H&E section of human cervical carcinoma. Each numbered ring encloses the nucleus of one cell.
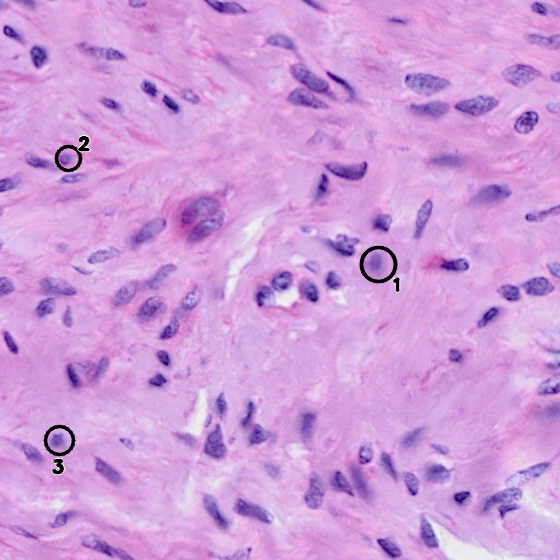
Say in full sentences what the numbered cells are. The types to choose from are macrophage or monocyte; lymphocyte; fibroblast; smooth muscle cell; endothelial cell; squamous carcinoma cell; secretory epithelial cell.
Cells 1 and 3 are fibroblasts. Cell 2 is a smooth muscle cell.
